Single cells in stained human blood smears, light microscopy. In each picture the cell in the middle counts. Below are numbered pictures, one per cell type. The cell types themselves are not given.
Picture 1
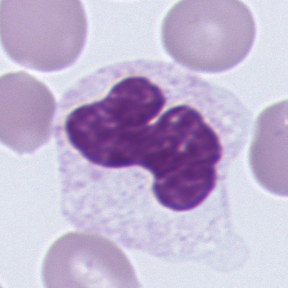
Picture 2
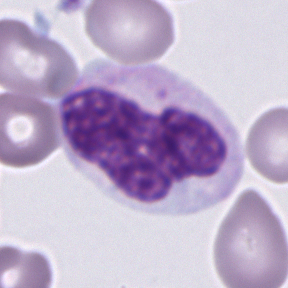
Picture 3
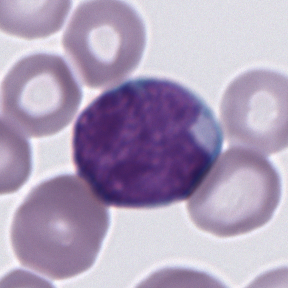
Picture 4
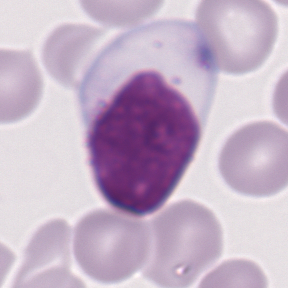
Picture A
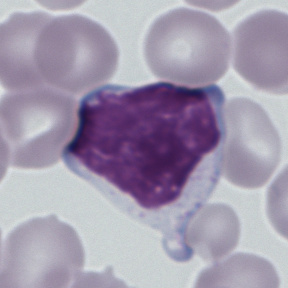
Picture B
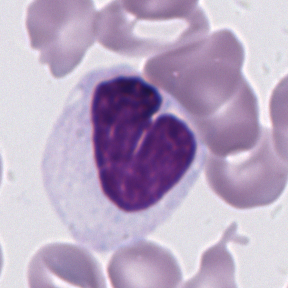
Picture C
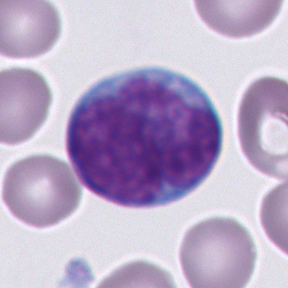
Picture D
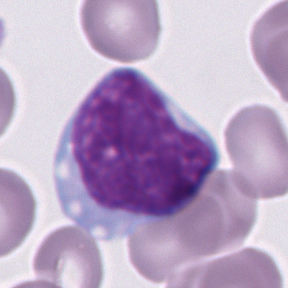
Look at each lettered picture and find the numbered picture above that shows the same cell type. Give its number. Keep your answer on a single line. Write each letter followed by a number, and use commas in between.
A 4, B 1, C 3, D 3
